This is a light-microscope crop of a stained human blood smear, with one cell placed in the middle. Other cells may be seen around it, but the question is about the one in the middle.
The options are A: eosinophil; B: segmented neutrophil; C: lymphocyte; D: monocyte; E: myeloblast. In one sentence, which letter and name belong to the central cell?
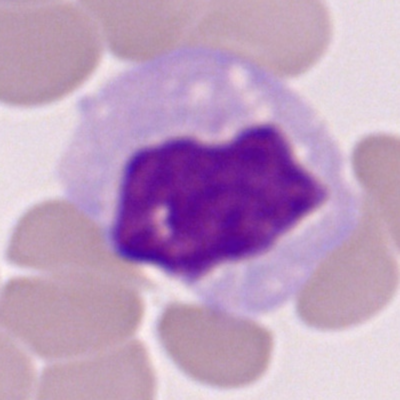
Option D holds up: the cell in the middle is a monocyte.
